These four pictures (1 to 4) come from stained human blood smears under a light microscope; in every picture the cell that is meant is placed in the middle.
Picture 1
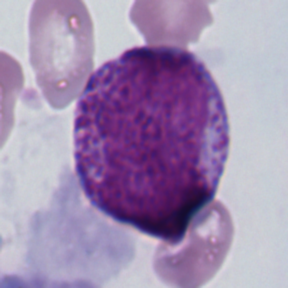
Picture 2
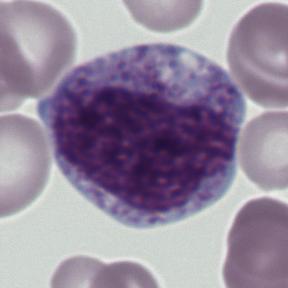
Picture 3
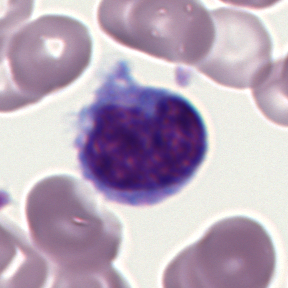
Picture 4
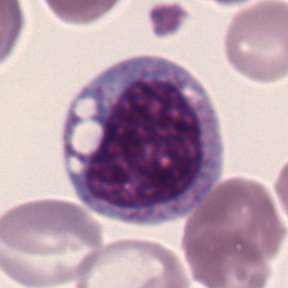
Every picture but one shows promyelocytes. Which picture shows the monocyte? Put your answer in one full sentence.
Picture 3 shows the monocyte.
